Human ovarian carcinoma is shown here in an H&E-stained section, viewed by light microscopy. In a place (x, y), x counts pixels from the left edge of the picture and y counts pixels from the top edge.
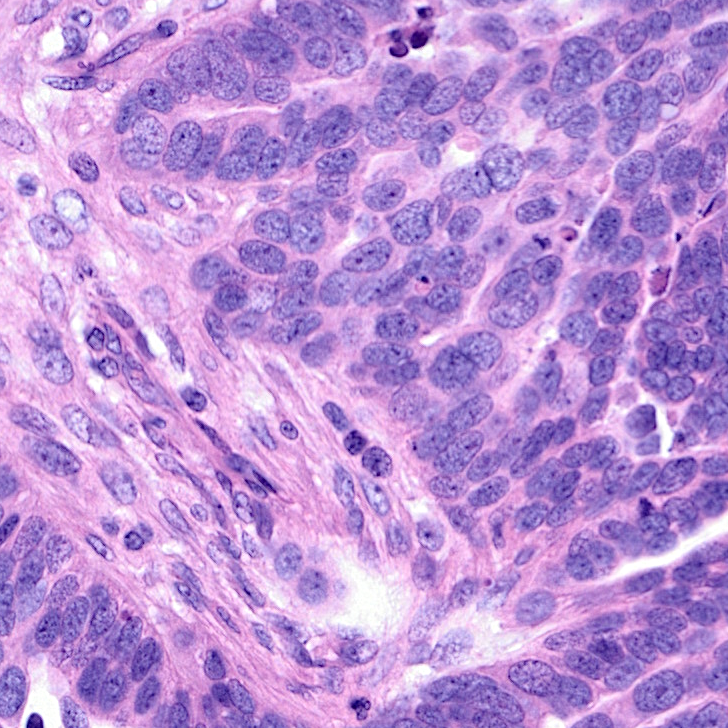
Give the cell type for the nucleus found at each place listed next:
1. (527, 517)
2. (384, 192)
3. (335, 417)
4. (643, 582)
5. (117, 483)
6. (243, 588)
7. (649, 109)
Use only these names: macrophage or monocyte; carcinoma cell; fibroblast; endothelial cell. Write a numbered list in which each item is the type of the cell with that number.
1. carcinoma cell
2. carcinoma cell
3. macrophage or monocyte
4. carcinoma cell
5. fibroblast
6. fibroblast
7. carcinoma cell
